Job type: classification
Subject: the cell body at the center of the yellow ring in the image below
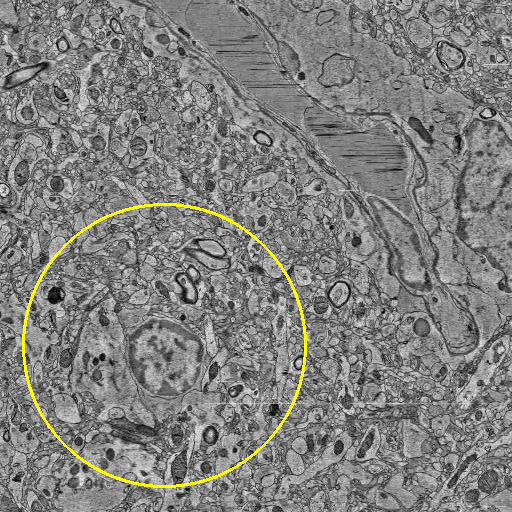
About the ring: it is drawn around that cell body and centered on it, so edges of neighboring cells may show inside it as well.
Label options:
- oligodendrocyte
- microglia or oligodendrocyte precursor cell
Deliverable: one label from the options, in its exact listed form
microglia or oligodendrocyte precursor cell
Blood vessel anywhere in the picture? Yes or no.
Yes, one shows.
